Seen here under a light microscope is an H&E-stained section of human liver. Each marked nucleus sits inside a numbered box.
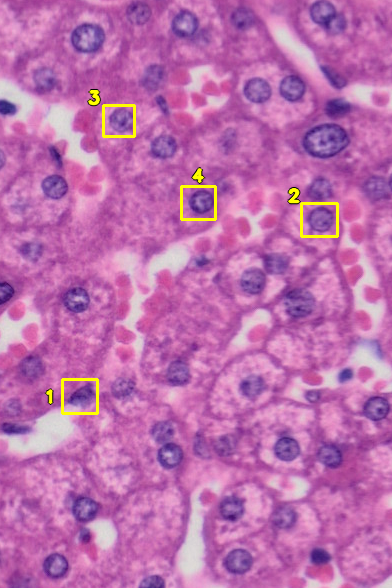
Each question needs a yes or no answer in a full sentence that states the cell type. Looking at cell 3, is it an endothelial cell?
No, cell number 3 is a hepatocyte; it is not an endothelial cell.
